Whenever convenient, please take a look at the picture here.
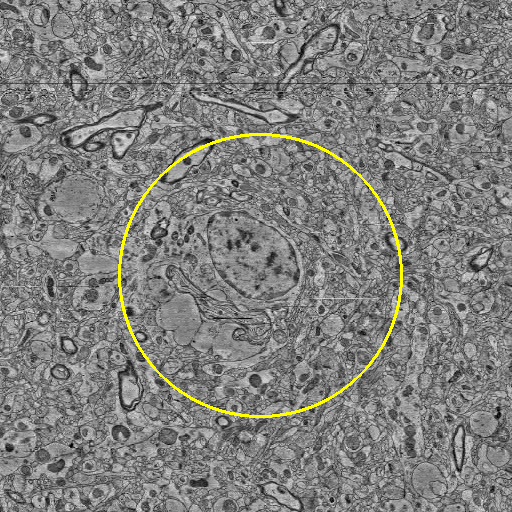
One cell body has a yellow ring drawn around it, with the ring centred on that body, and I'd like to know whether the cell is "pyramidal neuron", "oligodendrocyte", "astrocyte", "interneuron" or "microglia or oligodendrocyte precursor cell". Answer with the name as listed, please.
microglia or oligodendrocyte precursor cell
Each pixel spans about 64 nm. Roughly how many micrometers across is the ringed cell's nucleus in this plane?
About 7 by 5 micrometers, in this plane.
